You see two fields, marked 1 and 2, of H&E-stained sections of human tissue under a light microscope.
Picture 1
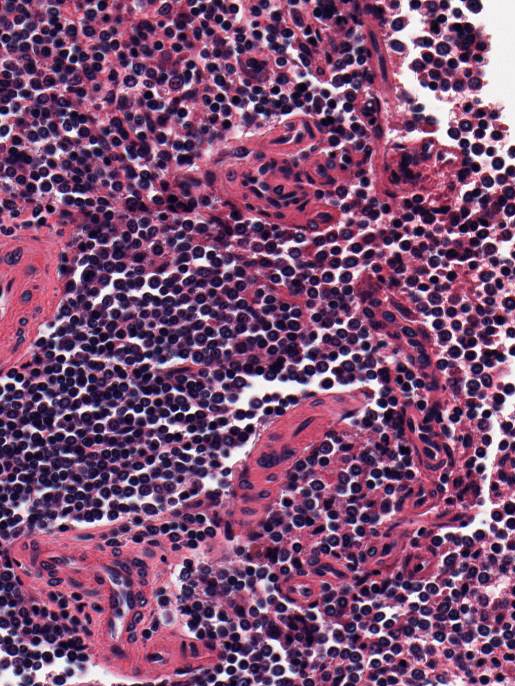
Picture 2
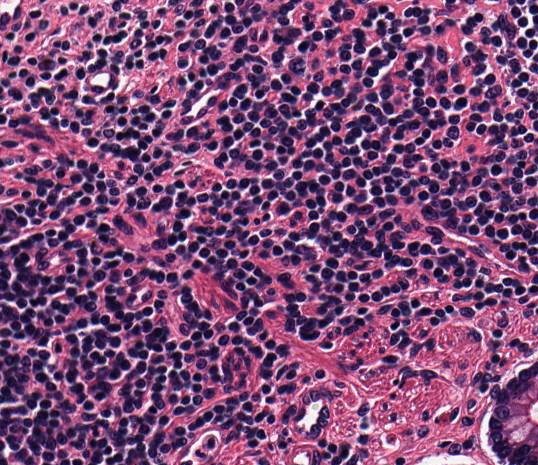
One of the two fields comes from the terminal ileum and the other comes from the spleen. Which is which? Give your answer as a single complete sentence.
Picture 1 comes from the spleen and picture 2 comes from the terminal ileum.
